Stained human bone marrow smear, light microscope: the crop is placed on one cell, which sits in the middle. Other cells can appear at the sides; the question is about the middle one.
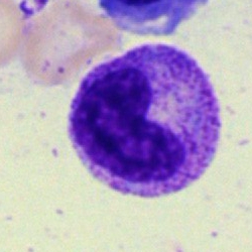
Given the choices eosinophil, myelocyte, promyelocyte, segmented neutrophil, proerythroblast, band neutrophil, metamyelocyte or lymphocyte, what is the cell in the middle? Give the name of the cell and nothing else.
metamyelocyte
